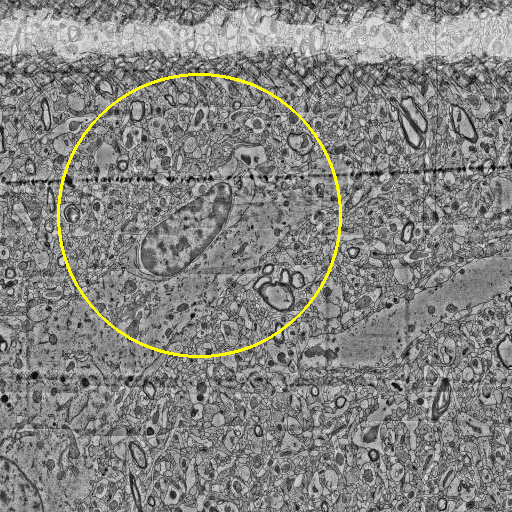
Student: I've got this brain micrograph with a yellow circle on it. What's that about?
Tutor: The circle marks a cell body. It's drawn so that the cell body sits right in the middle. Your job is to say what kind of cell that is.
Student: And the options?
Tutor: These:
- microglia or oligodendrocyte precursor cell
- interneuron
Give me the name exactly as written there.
microglia or oligodendrocyte precursor cell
